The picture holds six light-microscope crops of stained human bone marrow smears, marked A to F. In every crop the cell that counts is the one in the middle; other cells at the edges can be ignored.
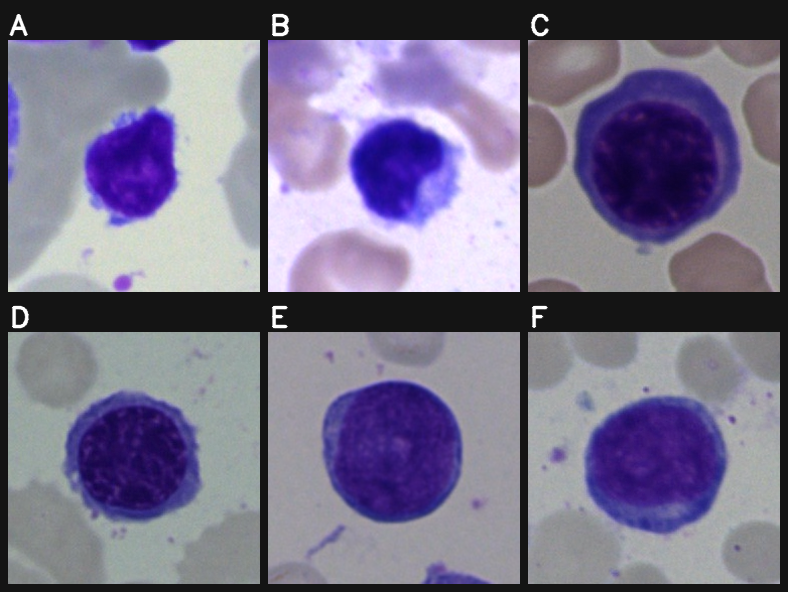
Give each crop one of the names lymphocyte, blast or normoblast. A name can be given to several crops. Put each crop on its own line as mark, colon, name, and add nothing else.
A: lymphocyte
B: lymphocyte
C: normoblast
D: normoblast
E: blast
F: blast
